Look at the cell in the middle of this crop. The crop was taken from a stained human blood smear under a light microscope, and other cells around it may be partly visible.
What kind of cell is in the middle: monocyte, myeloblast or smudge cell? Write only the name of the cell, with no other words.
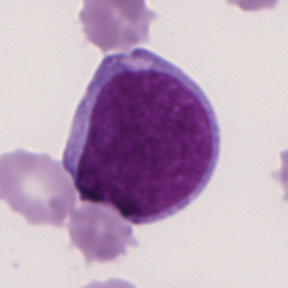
myeloblast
